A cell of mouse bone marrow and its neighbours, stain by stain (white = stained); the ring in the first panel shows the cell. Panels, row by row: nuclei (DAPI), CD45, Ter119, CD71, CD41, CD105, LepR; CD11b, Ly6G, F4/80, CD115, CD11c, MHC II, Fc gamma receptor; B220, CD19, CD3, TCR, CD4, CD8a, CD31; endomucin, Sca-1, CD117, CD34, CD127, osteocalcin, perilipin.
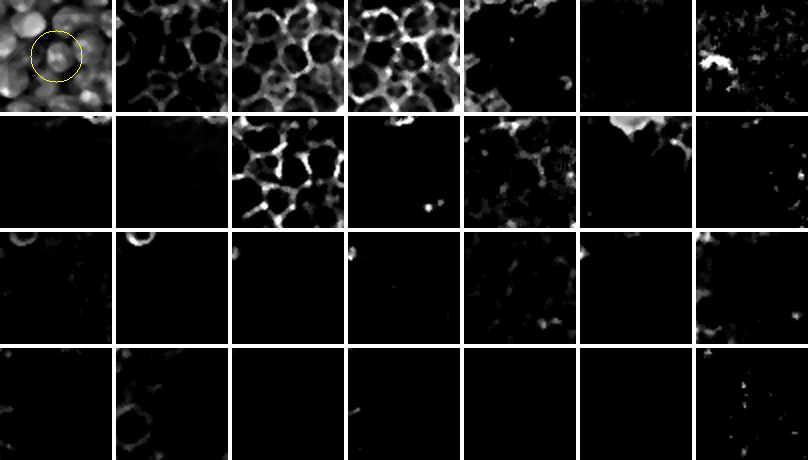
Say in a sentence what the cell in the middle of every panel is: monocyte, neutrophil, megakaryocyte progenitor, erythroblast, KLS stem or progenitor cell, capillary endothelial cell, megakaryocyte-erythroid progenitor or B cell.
This is an erythroblast.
